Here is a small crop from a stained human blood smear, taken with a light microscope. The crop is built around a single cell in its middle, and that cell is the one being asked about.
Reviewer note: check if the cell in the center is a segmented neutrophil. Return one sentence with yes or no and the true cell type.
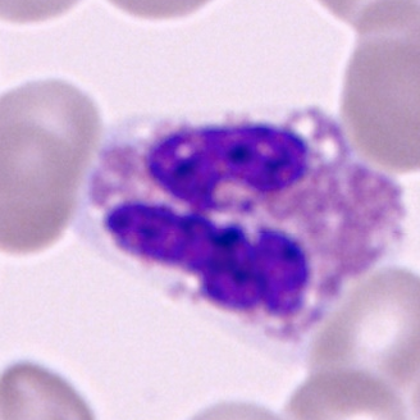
No, in this crop the central cell is an eosinophil instead of a segmented neutrophil.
